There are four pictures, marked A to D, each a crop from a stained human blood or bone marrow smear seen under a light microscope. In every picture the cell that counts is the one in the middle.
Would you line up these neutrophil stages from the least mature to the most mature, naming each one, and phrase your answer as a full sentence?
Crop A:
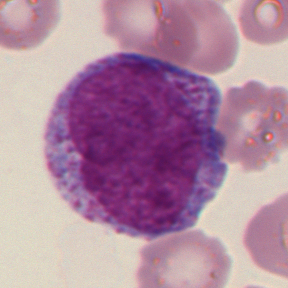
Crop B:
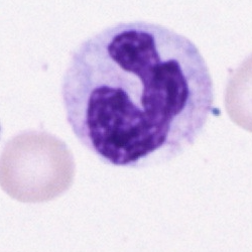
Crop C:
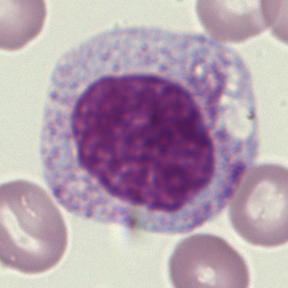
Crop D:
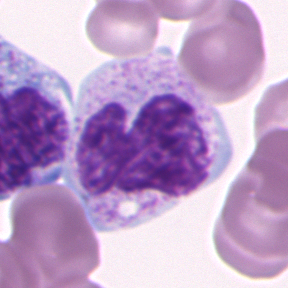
Ordered by maturity, from least to most, the crops are crop A (a promyelocyte), crop C (a myelocyte), crop D (a band neutrophil) and crop B (a segmented neutrophil).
